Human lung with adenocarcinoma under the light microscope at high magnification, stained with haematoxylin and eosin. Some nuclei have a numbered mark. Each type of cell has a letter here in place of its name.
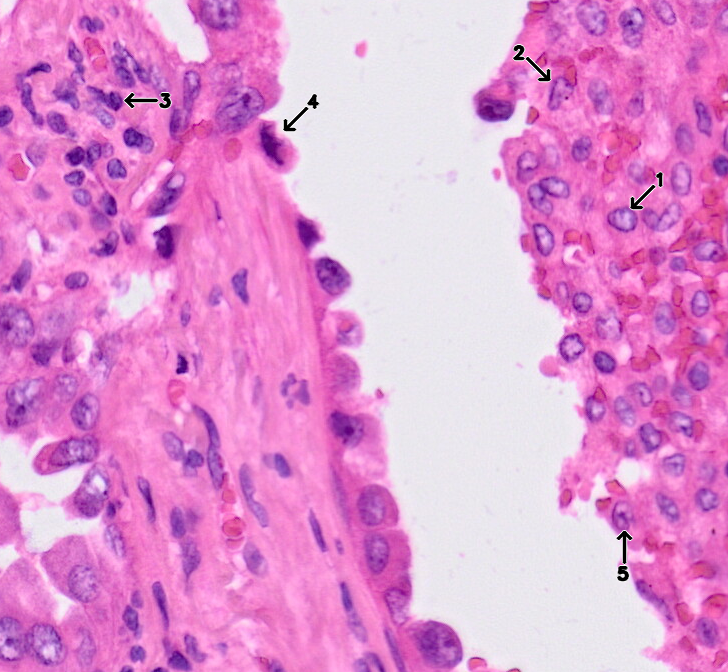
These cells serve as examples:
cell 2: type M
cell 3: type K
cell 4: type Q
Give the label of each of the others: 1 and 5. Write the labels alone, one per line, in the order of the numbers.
type M
type M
